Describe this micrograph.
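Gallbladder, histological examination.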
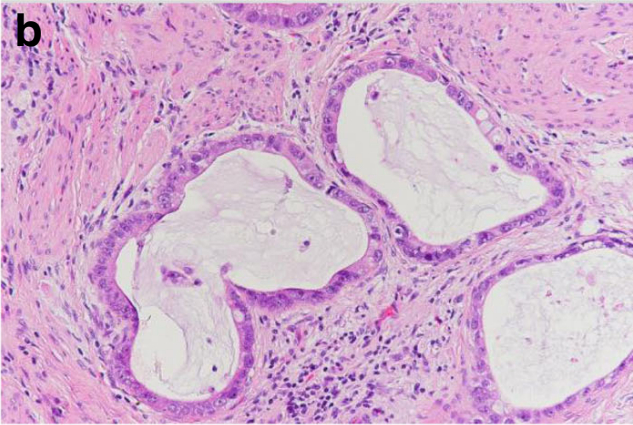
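Several large, dilated tubules lie within a pink fibrous stroma. Each is lined by a single layer of cuboidal to low columnar cells with rounded nuclei and pink cytoplasm. The lumina are wide and hold pale, wispy secretion. Scattered spindle cells and some small dark inflammatory cells lie in the stroma between the tubules.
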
